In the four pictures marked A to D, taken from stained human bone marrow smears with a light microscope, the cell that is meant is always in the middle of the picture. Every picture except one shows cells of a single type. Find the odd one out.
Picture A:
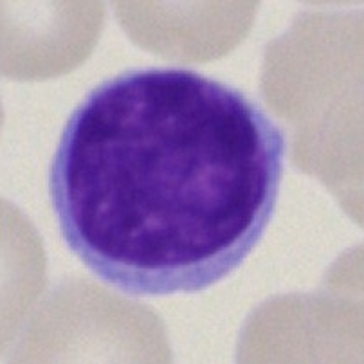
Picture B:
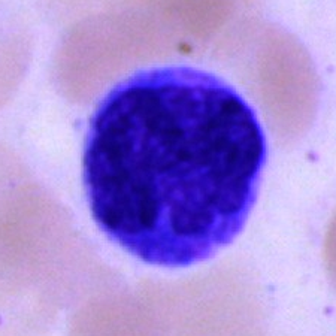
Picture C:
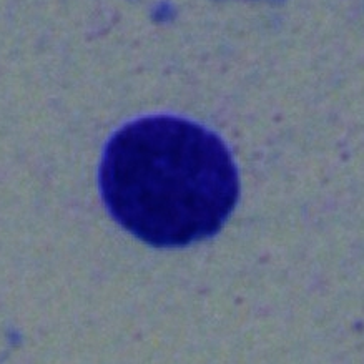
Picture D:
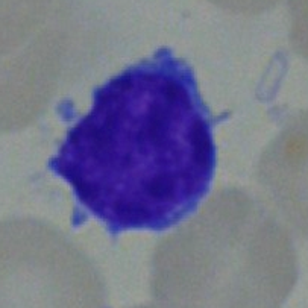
B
